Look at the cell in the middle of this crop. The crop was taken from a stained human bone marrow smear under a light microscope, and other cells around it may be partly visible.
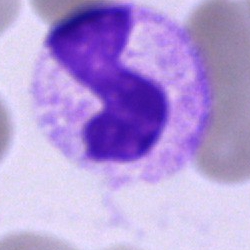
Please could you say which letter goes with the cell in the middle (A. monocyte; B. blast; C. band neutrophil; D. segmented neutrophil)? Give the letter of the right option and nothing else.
C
